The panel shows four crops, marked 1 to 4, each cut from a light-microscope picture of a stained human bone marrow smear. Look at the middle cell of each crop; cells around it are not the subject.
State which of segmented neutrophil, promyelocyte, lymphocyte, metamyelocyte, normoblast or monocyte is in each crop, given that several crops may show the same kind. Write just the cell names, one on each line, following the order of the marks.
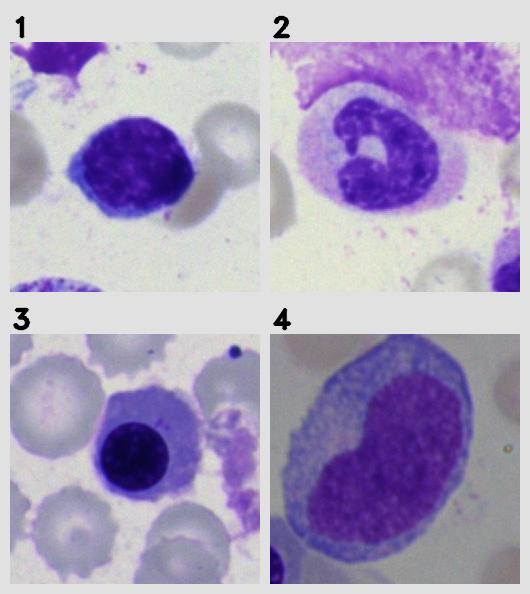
lymphocyte
segmented neutrophil
normoblast
monocyte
